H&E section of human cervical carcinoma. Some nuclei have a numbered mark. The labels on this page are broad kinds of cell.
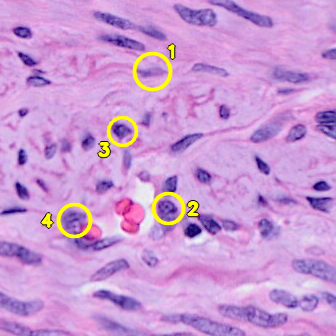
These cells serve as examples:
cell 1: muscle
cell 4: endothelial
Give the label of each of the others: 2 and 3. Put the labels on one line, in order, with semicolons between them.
endothelial; muscle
